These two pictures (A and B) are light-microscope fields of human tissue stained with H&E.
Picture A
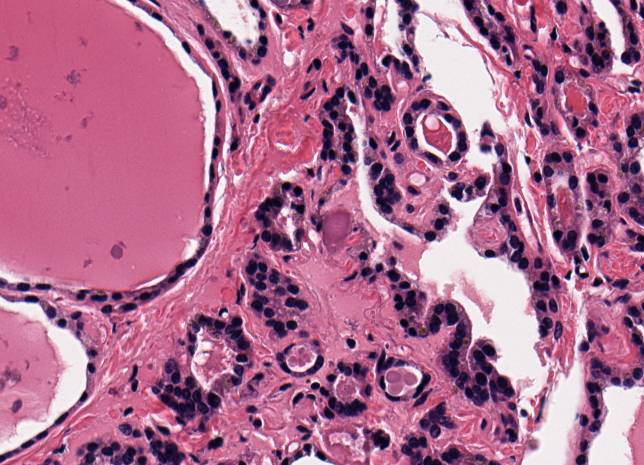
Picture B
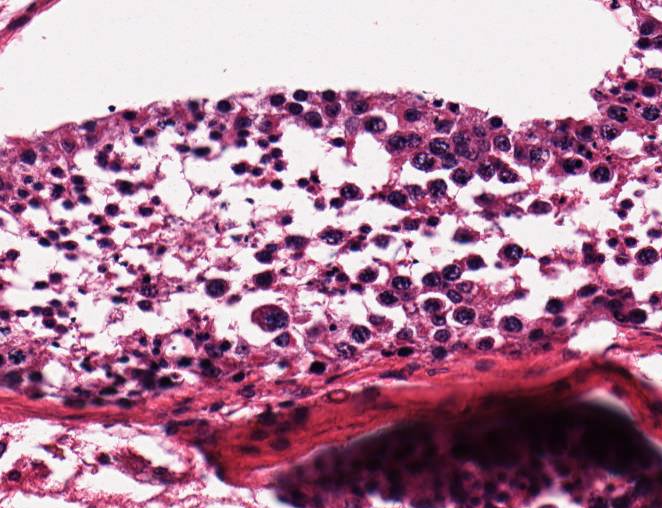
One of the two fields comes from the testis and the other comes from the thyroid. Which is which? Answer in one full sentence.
Picture A comes from the thyroid; picture B comes from the testis.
